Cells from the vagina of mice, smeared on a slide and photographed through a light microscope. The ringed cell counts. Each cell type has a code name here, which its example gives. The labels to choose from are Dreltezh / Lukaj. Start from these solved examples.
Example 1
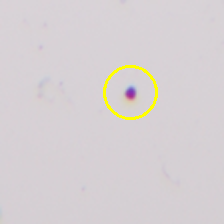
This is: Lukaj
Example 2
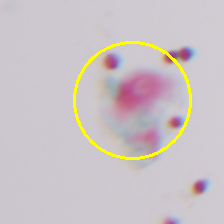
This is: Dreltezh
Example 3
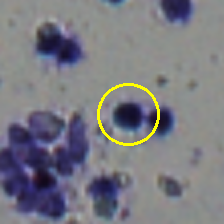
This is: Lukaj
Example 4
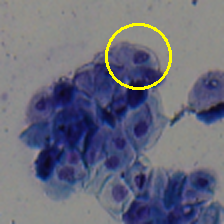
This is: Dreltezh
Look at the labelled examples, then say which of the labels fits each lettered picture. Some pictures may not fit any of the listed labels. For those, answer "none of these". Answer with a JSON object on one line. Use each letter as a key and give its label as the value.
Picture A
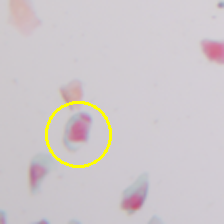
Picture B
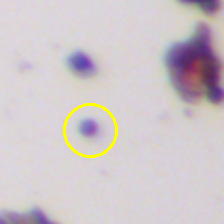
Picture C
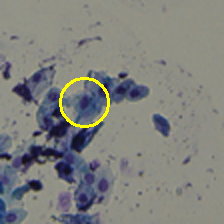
{"A": "Dreltezh", "B": "Lukaj", "C": "Dreltezh"}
